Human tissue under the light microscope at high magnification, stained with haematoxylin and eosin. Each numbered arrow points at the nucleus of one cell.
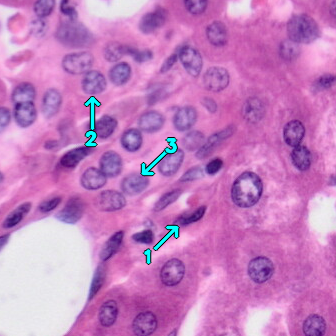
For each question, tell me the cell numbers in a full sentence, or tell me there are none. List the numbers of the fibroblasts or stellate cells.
Of the cells carrying numbers, just cell 1 is a fibroblast or stellate cell.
